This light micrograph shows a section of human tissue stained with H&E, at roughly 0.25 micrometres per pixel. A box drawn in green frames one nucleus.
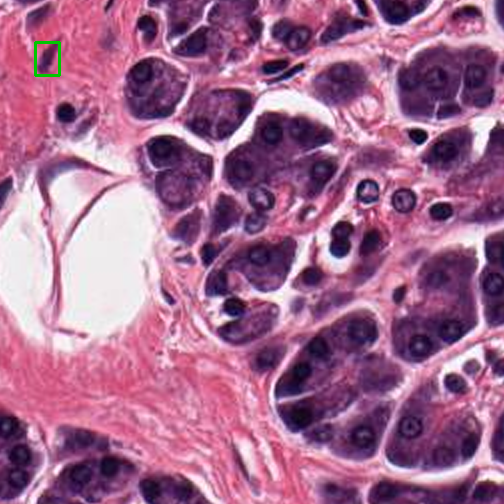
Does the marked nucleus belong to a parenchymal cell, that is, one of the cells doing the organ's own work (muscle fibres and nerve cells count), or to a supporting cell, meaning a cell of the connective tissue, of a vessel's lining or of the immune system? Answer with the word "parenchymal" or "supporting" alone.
supporting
